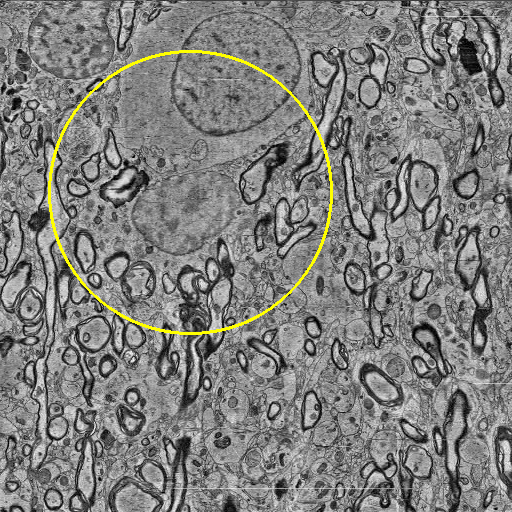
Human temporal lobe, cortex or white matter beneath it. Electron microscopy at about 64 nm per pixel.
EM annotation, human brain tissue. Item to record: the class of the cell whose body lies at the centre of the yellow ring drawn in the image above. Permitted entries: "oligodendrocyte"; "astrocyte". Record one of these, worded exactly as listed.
oligodendrocyte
